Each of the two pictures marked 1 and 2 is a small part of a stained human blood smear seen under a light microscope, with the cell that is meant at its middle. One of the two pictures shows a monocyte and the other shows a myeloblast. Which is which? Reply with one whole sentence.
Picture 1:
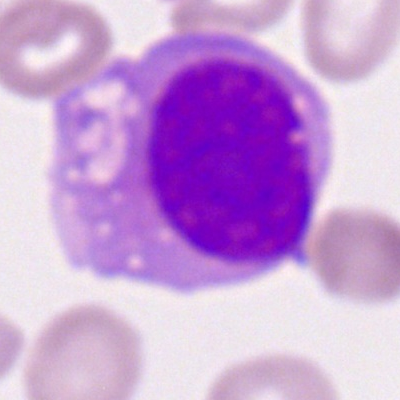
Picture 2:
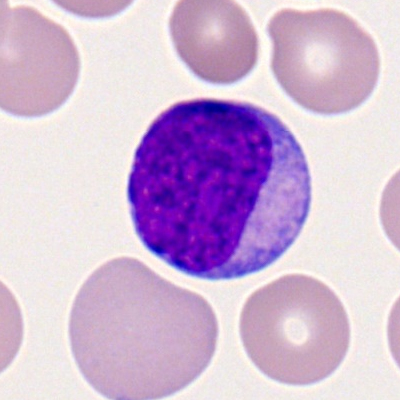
In picture 1 the cell is a monocyte; in picture 2, a myeloblast.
